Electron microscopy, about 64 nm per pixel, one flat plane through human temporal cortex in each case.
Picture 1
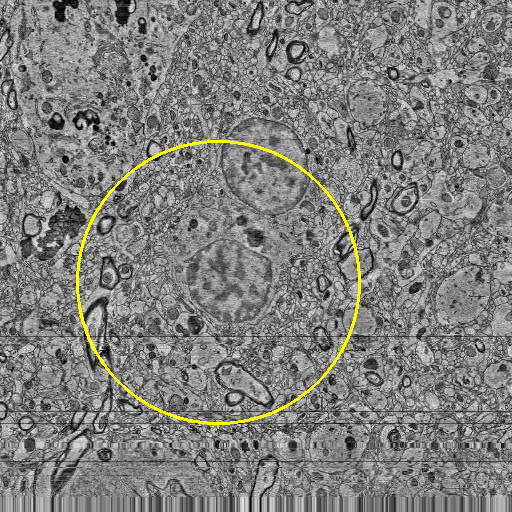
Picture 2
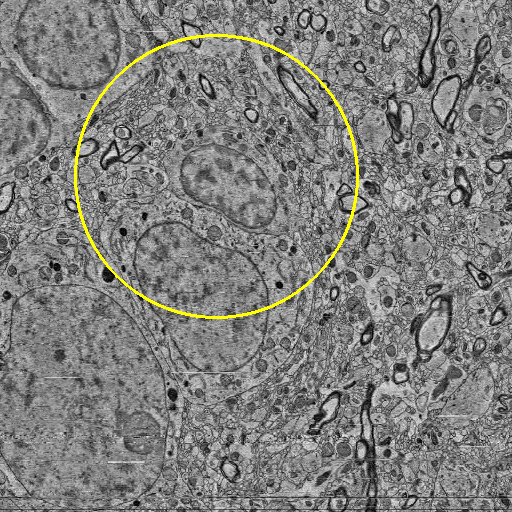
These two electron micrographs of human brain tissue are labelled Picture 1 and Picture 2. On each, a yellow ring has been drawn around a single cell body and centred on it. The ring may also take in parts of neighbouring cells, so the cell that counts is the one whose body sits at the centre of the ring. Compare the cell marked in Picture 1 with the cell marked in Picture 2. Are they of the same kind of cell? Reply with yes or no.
yes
